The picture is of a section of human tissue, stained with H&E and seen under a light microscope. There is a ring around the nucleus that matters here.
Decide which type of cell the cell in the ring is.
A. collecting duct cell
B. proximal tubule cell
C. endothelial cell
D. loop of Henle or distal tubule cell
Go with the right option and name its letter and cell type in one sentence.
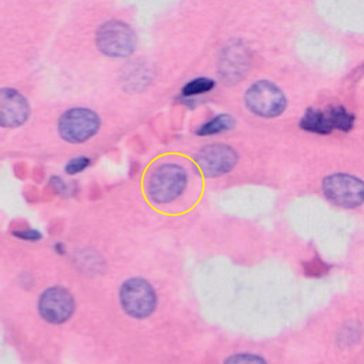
The right pick is option B; the cell in the ring is a proximal tubule cell.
